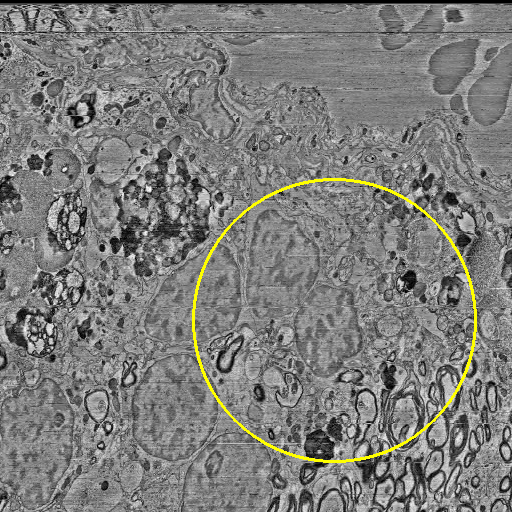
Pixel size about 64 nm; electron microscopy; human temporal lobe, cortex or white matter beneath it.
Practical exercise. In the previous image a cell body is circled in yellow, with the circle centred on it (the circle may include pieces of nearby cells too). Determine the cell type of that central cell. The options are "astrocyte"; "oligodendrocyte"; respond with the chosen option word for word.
oligodendrocyte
